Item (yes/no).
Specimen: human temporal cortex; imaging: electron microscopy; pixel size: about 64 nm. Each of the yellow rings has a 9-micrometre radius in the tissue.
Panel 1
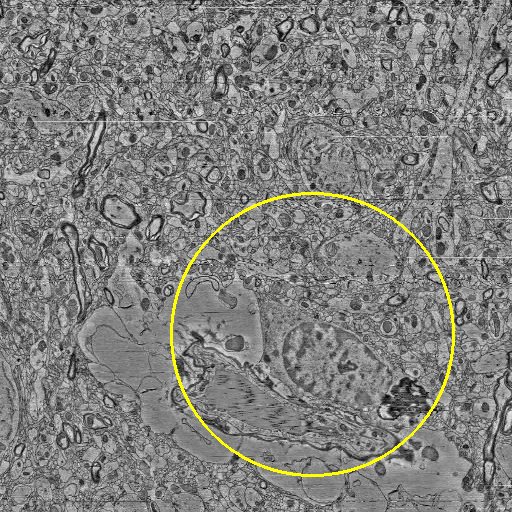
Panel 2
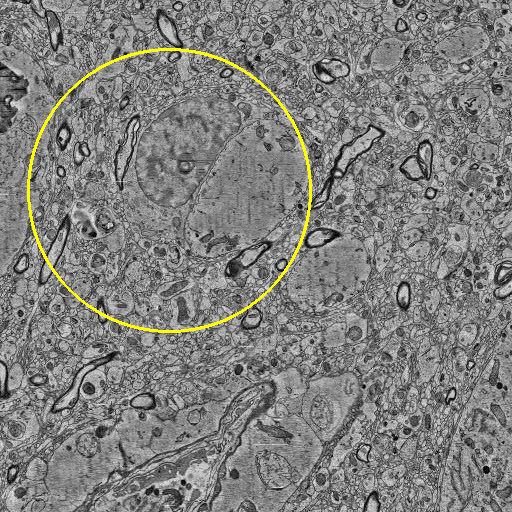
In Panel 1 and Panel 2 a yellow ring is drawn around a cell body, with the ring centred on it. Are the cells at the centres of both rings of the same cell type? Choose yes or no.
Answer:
yes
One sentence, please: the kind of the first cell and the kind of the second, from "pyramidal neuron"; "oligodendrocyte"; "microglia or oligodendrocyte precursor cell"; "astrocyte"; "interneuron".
Each of the two pictures has an oligodendrocyte at the ring centre.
